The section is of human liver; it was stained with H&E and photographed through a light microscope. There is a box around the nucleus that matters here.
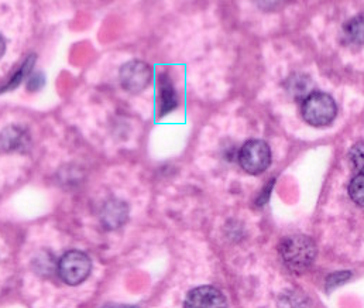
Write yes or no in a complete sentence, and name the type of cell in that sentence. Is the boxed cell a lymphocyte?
No, the boxed cell is recognized as a fibroblast or stellate cell rather than a lymphocyte.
